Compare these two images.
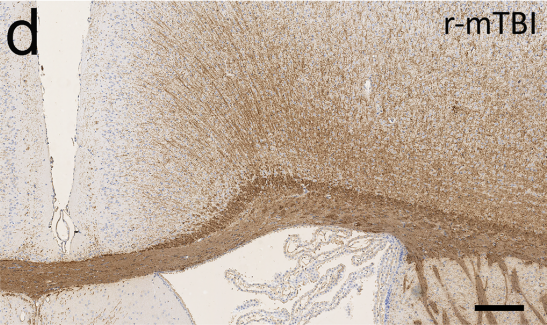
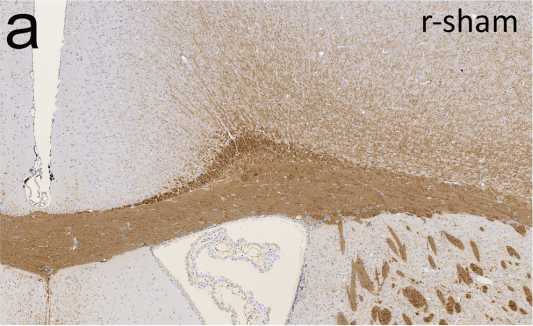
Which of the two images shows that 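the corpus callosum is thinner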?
The first image.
